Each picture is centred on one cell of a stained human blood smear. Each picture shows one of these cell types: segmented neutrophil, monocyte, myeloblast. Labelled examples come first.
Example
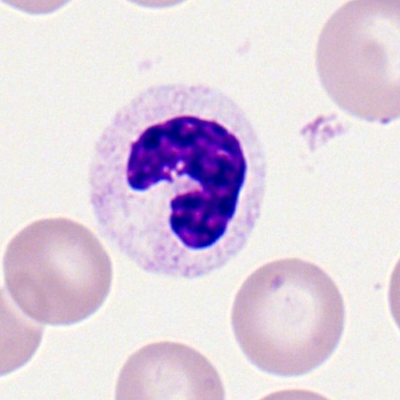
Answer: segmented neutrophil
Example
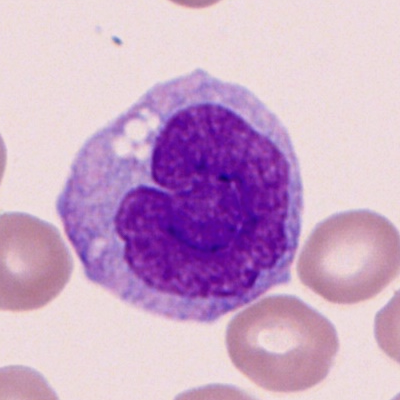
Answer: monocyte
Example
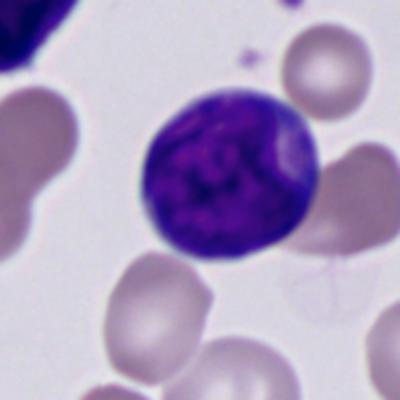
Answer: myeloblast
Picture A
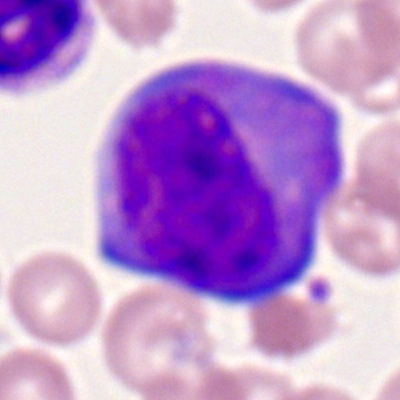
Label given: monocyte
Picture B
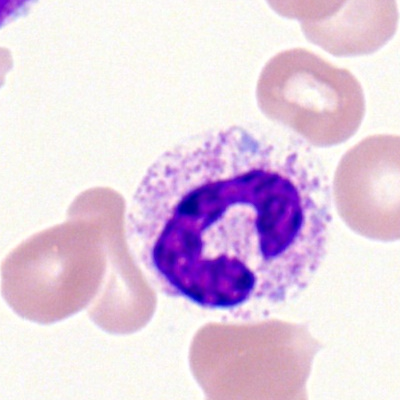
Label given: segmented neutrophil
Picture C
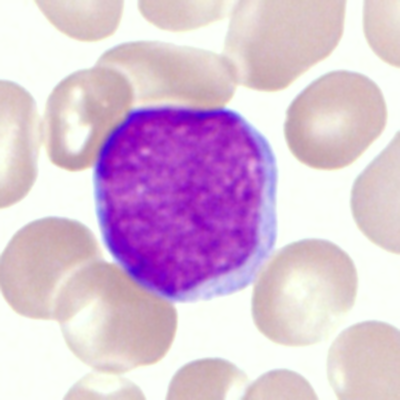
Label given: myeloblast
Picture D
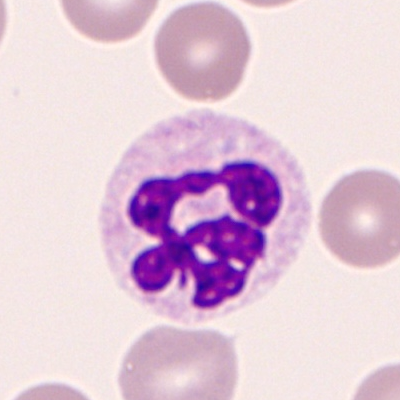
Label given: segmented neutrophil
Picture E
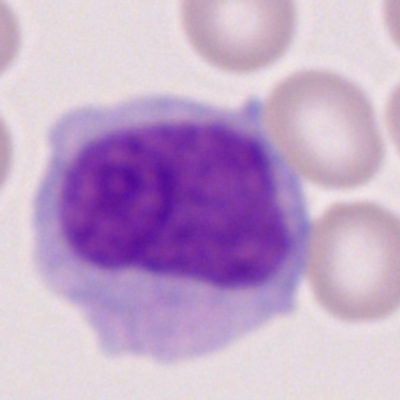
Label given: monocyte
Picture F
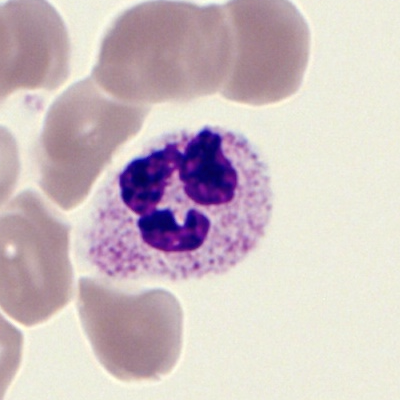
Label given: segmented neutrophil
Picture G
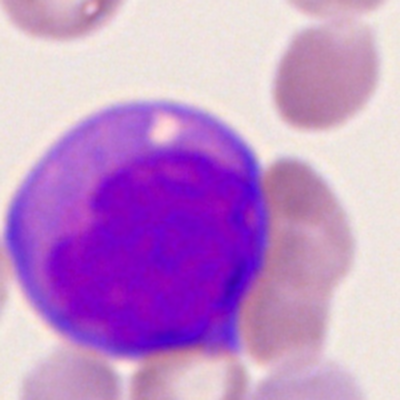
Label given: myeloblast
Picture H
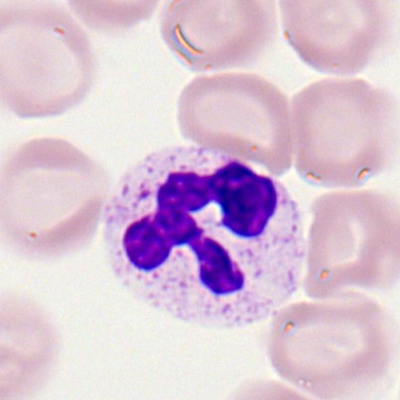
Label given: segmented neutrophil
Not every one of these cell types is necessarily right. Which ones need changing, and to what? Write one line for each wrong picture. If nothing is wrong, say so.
A: not monocyte but myeloblast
